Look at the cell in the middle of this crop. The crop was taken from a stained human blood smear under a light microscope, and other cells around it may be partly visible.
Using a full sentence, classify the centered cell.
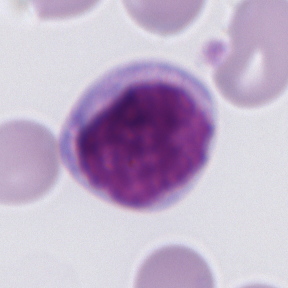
Looking at the middle of the crop, the cell there is a large granular lymphocyte.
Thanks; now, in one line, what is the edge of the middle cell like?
A smooth, projection-free outline is what this cell has.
